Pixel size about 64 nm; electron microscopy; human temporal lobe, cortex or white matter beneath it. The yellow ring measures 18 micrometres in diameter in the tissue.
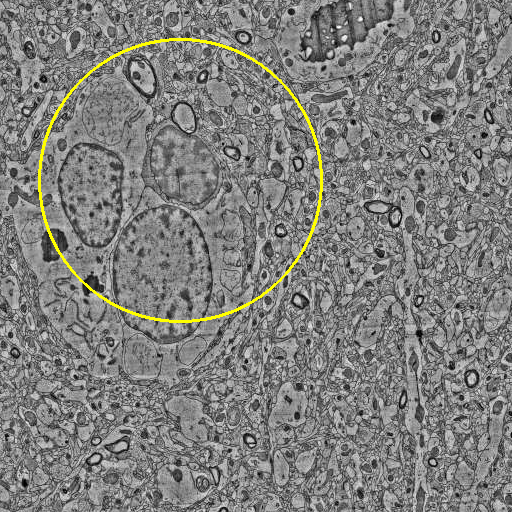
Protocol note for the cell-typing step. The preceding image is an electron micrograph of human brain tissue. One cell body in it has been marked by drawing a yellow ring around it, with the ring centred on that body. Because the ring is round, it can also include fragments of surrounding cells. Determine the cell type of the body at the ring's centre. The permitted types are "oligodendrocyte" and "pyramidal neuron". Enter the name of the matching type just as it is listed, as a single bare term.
oligodendrocyte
